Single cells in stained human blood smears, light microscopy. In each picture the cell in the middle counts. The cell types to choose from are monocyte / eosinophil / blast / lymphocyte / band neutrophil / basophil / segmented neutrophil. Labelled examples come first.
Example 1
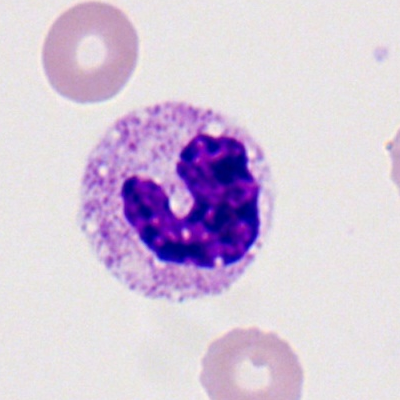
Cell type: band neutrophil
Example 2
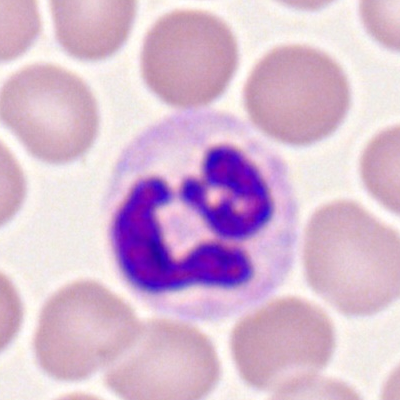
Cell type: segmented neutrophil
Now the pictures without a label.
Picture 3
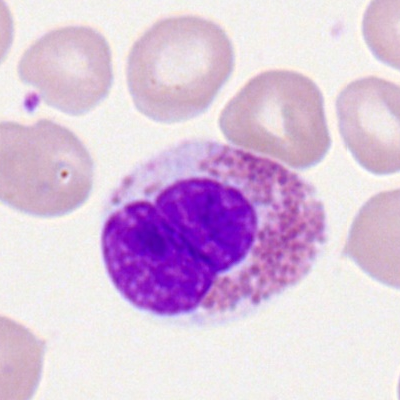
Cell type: eosinophil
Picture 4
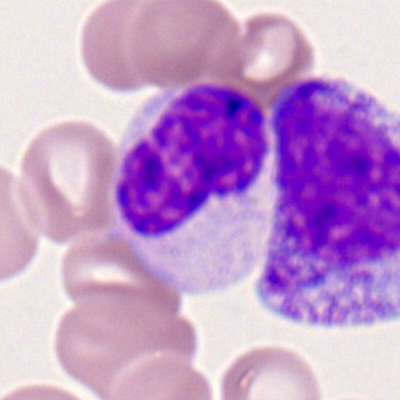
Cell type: band neutrophil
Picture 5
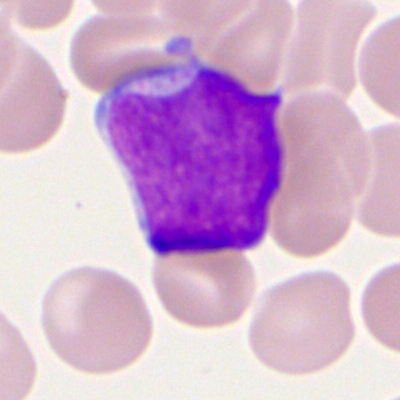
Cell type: blast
